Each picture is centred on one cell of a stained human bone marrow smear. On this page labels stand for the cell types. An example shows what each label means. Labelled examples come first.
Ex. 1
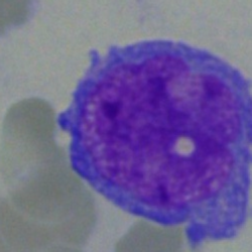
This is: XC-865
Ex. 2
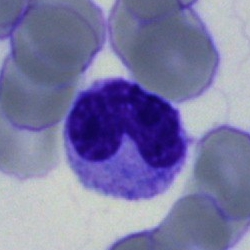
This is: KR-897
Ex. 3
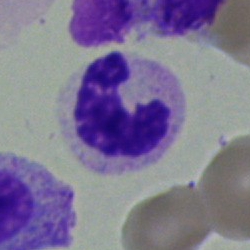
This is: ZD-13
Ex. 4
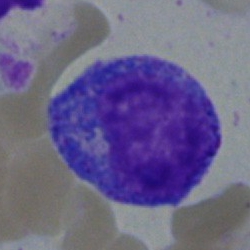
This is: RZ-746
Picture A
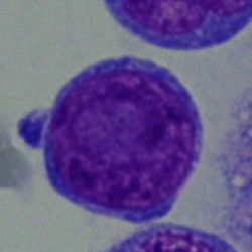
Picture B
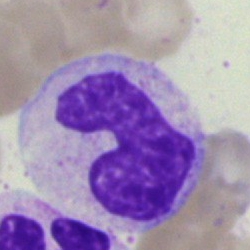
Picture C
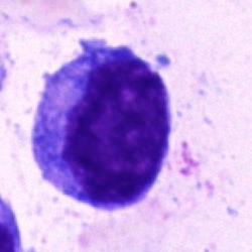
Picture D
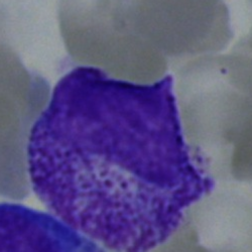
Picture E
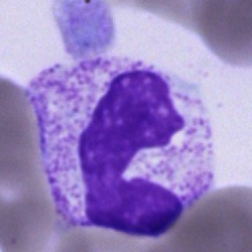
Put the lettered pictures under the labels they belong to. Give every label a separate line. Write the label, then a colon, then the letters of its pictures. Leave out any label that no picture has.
XC-865: A, C
KR-897: B, E
RZ-746: D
